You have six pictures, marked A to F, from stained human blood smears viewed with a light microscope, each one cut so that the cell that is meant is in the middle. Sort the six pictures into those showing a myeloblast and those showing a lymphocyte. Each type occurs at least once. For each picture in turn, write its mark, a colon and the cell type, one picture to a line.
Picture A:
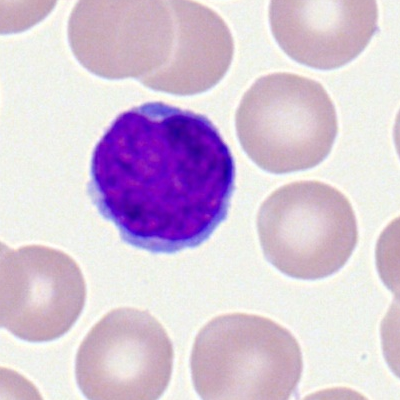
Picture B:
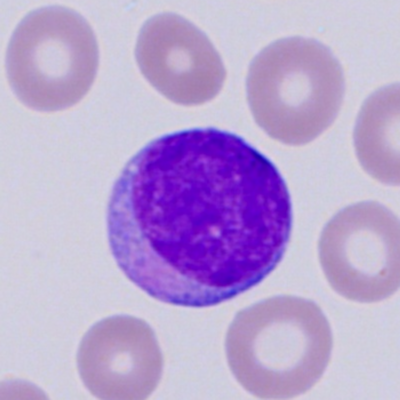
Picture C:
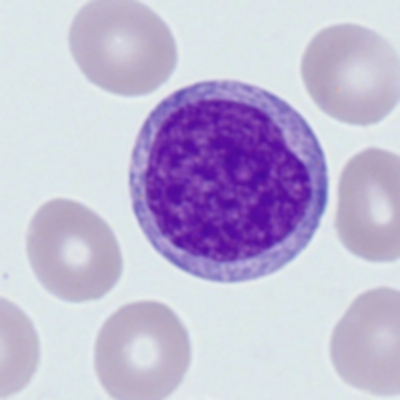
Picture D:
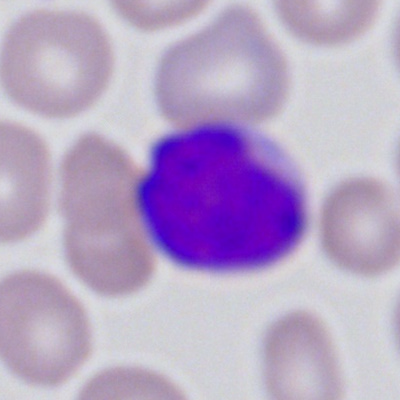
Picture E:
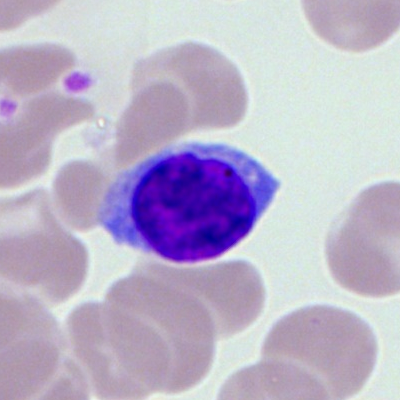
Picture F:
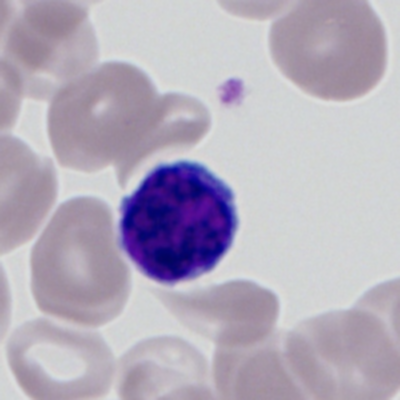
A: lymphocyte
B: myeloblast
C: myeloblast
D: myeloblast
E: lymphocyte
F: lymphocyte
